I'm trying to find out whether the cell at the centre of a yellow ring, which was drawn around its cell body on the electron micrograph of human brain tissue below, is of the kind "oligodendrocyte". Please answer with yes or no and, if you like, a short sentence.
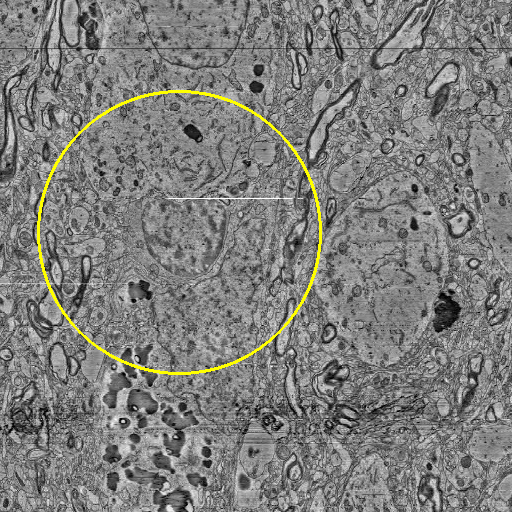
Yes, that cell is of the given kind.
